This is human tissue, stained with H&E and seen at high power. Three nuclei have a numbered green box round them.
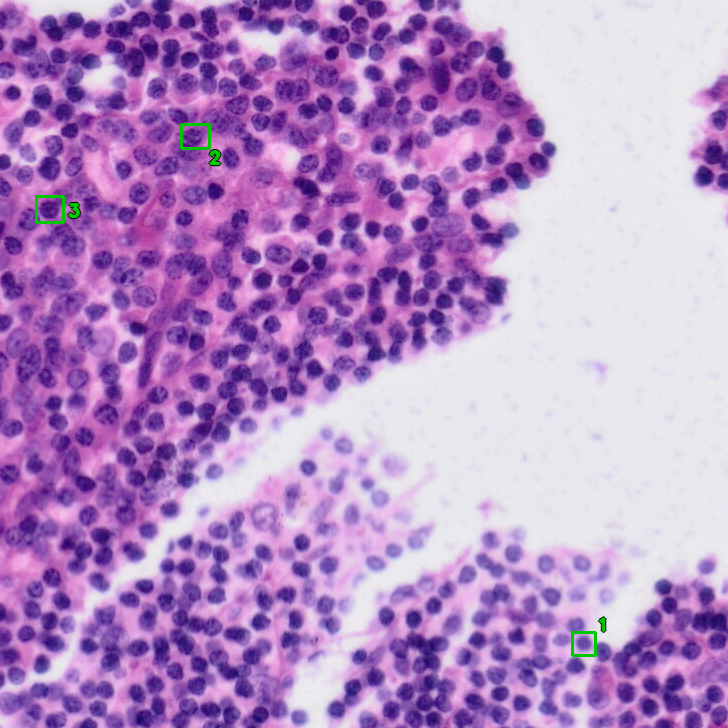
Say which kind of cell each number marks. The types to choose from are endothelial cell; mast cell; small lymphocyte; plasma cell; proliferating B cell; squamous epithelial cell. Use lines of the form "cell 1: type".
cell 1: small lymphocyte
cell 2: plasma cell
cell 3: plasma cell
